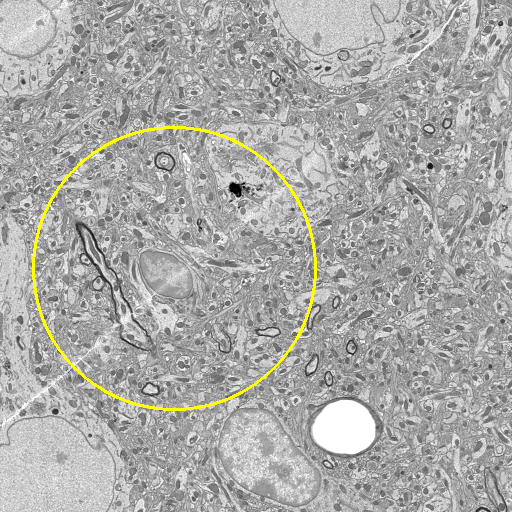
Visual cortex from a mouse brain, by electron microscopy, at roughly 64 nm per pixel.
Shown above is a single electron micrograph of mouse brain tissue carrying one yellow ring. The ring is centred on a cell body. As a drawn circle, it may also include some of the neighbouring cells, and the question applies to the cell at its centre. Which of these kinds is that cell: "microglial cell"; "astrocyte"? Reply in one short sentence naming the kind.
The cell marked by the ring is a microglial cell.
